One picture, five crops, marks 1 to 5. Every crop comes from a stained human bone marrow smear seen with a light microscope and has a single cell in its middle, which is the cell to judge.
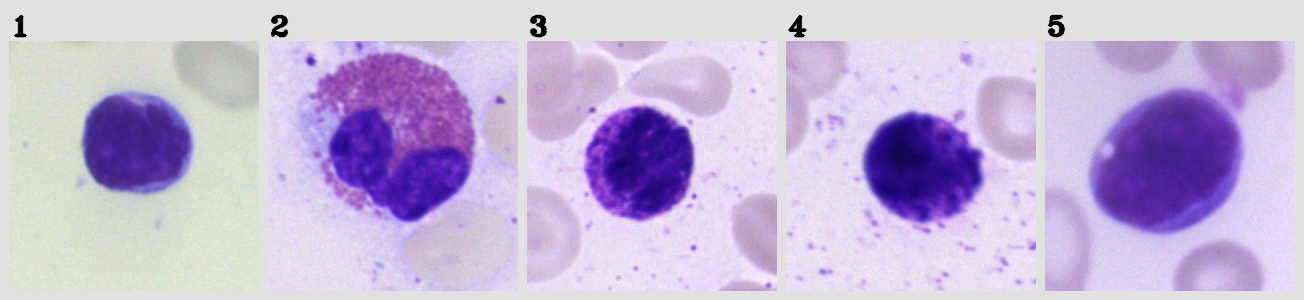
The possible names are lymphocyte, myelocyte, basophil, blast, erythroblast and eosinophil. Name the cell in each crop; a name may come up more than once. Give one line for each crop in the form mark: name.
1: lymphocyte
2: eosinophil
3: basophil
4: basophil
5: blast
